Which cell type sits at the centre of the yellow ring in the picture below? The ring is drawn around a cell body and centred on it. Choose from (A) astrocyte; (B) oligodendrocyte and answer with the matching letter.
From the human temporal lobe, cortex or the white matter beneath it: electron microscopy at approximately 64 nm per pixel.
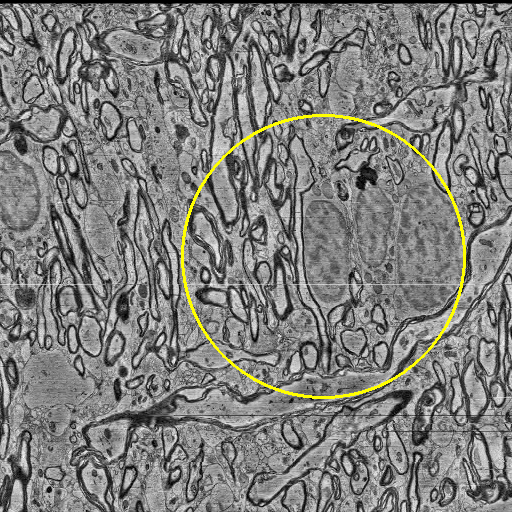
B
